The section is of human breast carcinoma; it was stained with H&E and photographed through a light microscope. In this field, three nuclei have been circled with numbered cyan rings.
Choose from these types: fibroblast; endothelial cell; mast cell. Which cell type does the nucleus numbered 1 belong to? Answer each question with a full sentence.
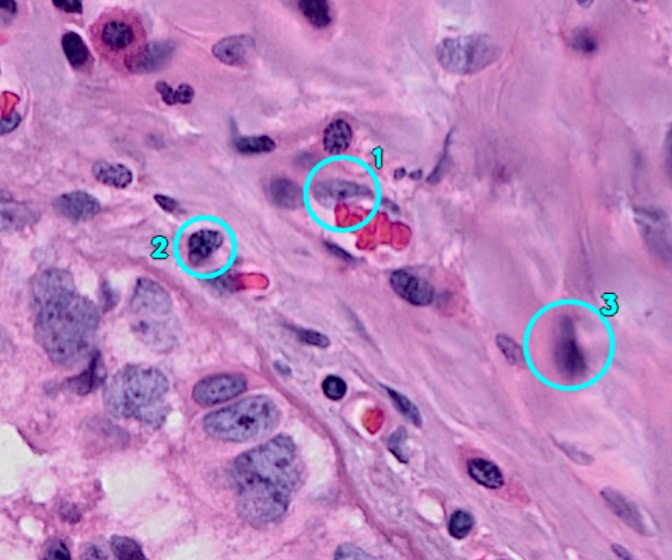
In this section, the cell tagged 1 is an endothelial cell.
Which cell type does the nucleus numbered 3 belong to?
Classified as a fibroblast is the cell with the number 3.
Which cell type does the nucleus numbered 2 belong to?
The cell assigned the number 2 is a mast cell.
